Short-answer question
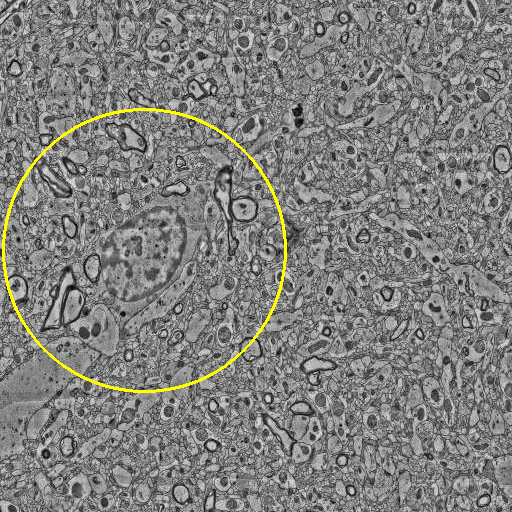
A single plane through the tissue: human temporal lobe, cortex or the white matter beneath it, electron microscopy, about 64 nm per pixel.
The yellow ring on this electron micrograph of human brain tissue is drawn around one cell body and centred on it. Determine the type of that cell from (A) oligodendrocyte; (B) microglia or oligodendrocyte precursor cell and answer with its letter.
A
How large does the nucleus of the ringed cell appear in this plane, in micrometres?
In this plane, approximately 7 by 5 micrometers.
